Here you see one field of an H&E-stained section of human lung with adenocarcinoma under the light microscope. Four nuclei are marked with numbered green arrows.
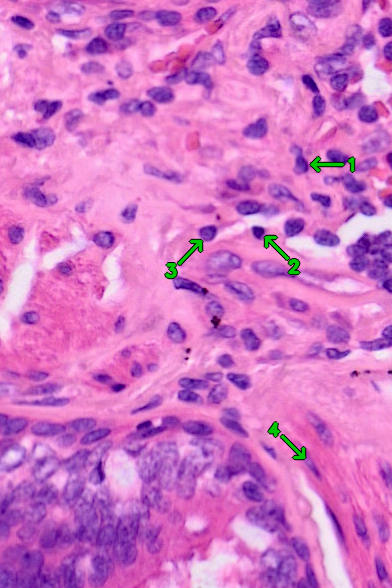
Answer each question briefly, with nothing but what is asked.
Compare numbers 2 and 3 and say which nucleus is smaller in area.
2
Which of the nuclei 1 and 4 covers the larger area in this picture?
4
